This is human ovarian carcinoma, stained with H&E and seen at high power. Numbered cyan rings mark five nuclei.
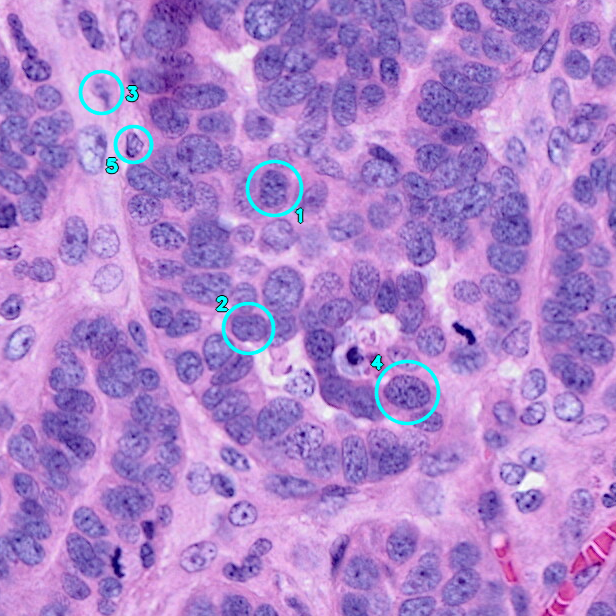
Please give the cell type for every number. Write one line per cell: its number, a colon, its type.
1: carcinoma cell
2: carcinoma cell
3: fibroblast
4: carcinoma cell
5: macrophage or monocyte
